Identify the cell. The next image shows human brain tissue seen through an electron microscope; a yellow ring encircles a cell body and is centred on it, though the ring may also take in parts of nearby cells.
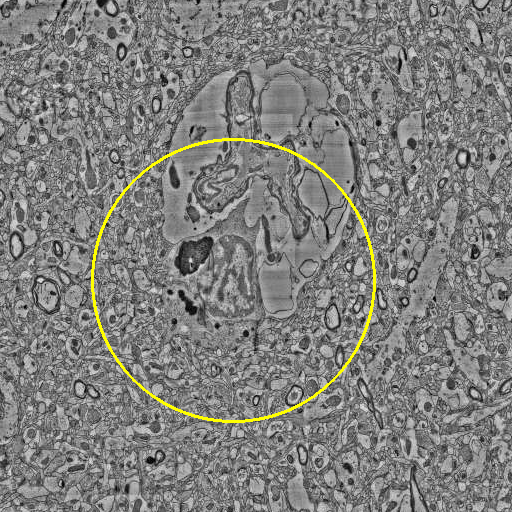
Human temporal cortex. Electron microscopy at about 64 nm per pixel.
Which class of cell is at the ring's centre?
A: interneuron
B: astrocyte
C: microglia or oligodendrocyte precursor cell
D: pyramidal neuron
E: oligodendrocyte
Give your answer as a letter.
E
